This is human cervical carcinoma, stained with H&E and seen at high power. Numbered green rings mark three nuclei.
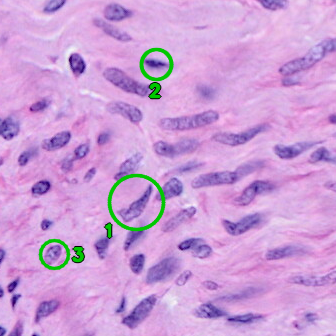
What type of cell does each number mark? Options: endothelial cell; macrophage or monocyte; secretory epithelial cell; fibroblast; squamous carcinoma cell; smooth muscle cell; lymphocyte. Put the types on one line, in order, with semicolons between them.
fibroblast; fibroblast; smooth muscle cell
